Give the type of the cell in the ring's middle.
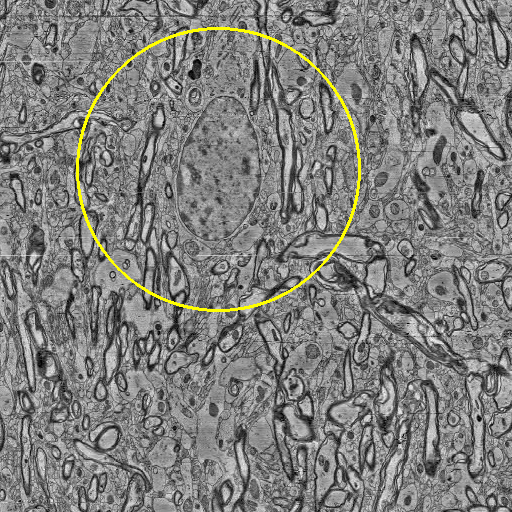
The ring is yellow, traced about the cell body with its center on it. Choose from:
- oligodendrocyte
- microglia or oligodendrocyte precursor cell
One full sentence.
Here, a microglial cell or oligodendrocyte precursor cell is the cell lying at the center of the yellow ring.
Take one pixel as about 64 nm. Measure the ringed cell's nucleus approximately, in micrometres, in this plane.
The nucleus comes to approximately 9 by 6 micrometres and is clearly longer than it is wide in this plane.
